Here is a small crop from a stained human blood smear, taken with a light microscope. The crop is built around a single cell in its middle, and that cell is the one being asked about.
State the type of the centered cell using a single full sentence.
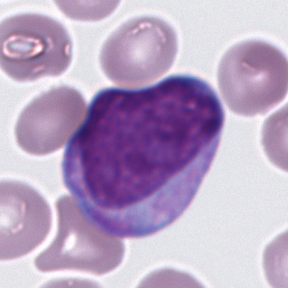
The cell at the middle of the crop is recognized as an atypical promyelocyte.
